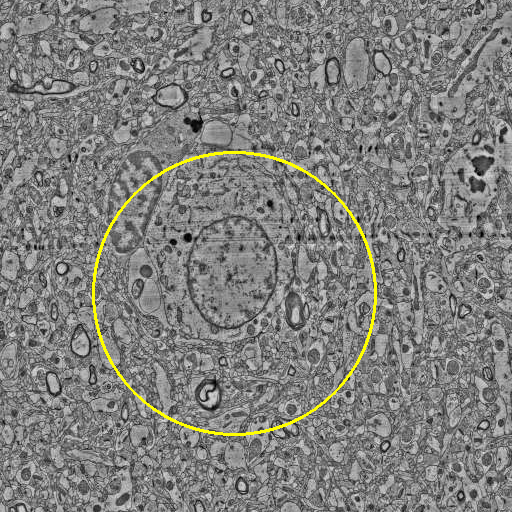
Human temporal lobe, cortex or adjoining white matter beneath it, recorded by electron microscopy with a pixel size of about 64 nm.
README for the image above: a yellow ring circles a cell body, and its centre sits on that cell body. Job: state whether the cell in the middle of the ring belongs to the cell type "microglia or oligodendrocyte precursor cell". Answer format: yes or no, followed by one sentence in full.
No, in the image, the ring's central cell belongs to another type.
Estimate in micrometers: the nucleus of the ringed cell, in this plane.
Approximately 7 x 6 micrometres in this plane.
